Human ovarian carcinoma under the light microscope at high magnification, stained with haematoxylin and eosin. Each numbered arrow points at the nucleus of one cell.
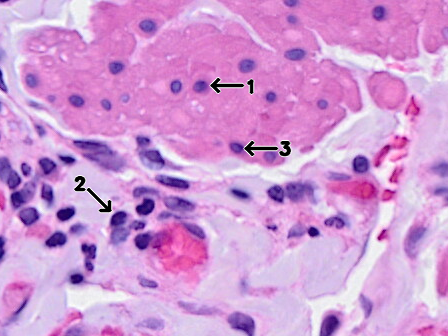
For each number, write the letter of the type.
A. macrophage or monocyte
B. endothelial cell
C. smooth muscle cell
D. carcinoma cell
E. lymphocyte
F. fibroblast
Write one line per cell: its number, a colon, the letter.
1: C
2: E
3: C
